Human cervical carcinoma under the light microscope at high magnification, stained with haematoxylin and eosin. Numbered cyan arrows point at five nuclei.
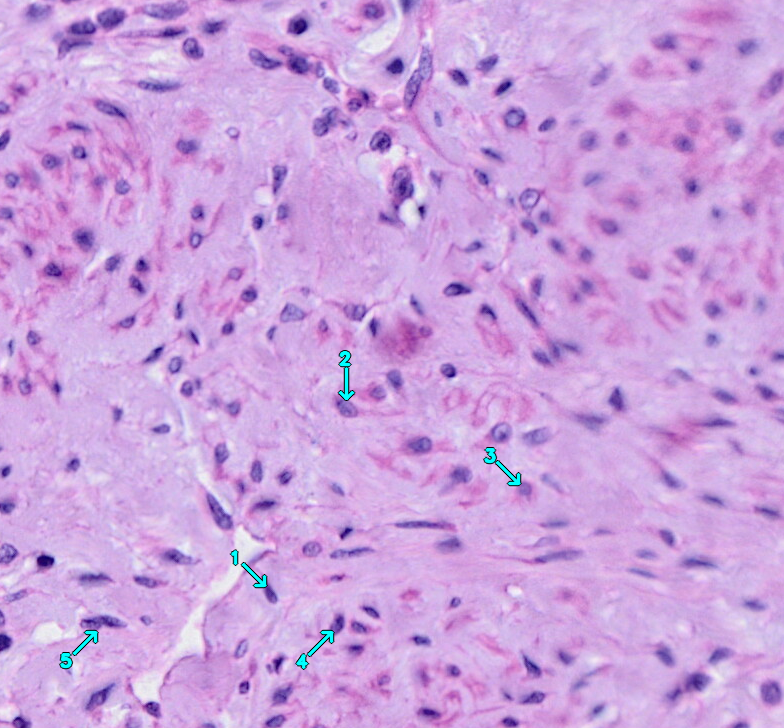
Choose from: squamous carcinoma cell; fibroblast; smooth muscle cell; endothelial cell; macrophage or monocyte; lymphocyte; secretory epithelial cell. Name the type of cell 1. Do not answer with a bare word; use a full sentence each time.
It is as a fibroblast that the cell numbered 1 is identified.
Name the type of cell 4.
At number 4, the marked cell is a smooth muscle cell.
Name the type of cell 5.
Belonging to a fibroblast is the nucleus that carries the number 5.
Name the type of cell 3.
The cell that is numbered 3 is a smooth muscle cell.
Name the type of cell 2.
The correct answer for cell 2 is a smooth muscle cell.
